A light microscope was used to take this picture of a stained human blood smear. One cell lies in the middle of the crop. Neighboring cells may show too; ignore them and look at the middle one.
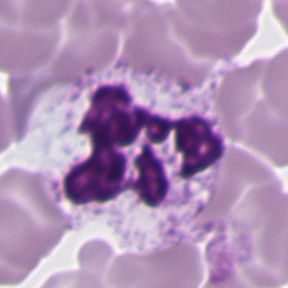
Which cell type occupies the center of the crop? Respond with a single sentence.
Classified as a segmented neutrophil is the cell in the middle of this crop.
